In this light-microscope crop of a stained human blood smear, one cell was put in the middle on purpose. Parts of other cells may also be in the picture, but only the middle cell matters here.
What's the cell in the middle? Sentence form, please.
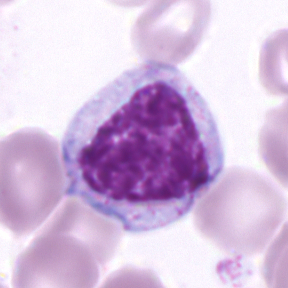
The middle position in this crop is taken by a myelocyte.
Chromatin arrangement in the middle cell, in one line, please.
Just so you know, its chromatin is coarsely clumped.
